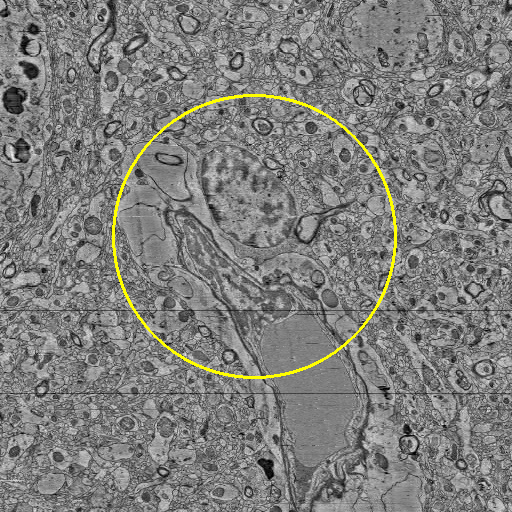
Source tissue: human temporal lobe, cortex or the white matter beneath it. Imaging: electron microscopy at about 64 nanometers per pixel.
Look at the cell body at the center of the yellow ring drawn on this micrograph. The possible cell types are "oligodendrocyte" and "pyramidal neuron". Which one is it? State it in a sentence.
The cell in the middle of the ring is an oligodendrocyte.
